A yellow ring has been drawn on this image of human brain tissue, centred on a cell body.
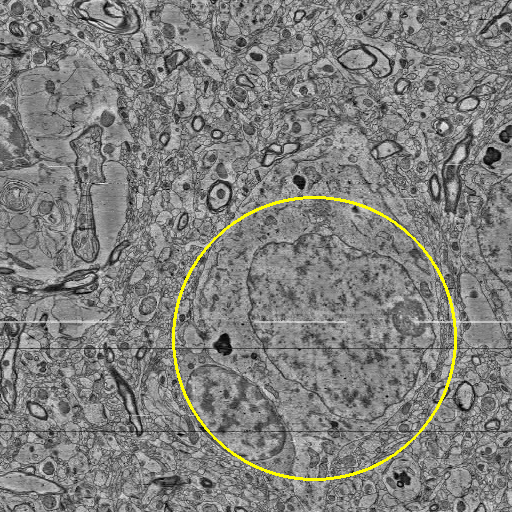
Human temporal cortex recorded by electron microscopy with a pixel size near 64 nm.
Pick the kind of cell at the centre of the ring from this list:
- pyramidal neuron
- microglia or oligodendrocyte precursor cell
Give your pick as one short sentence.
The centre of the ring holds a pyramidal neuron.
